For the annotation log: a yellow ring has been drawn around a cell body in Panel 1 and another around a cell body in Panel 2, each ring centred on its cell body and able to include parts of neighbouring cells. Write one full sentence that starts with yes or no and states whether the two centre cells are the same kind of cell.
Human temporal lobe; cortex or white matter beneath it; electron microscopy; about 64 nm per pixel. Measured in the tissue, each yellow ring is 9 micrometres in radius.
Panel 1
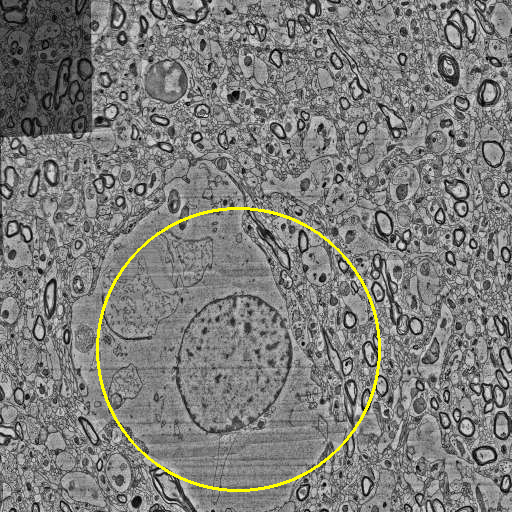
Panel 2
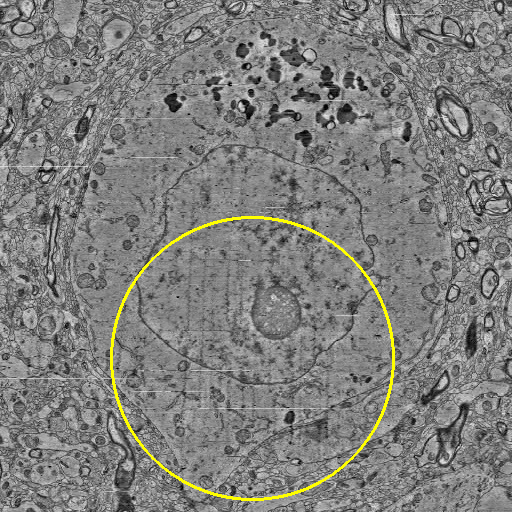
No, the two centre cells are two kinds of cell.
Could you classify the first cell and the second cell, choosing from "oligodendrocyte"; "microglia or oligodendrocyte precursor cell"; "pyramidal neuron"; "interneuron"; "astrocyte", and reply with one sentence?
The second cell is a pyramidal neuron, while the first is an astrocyte.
